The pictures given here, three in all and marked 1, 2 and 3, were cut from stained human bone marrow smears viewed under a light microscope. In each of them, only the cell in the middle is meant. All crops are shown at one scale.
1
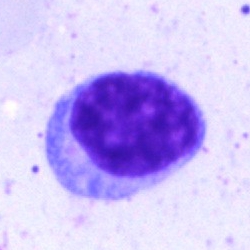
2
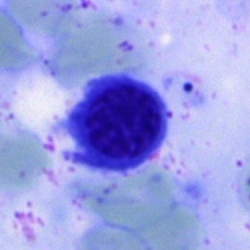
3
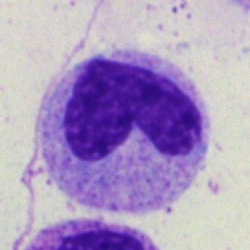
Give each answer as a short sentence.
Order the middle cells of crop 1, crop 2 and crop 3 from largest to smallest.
From the largest down, the order is 3, 1, 2.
